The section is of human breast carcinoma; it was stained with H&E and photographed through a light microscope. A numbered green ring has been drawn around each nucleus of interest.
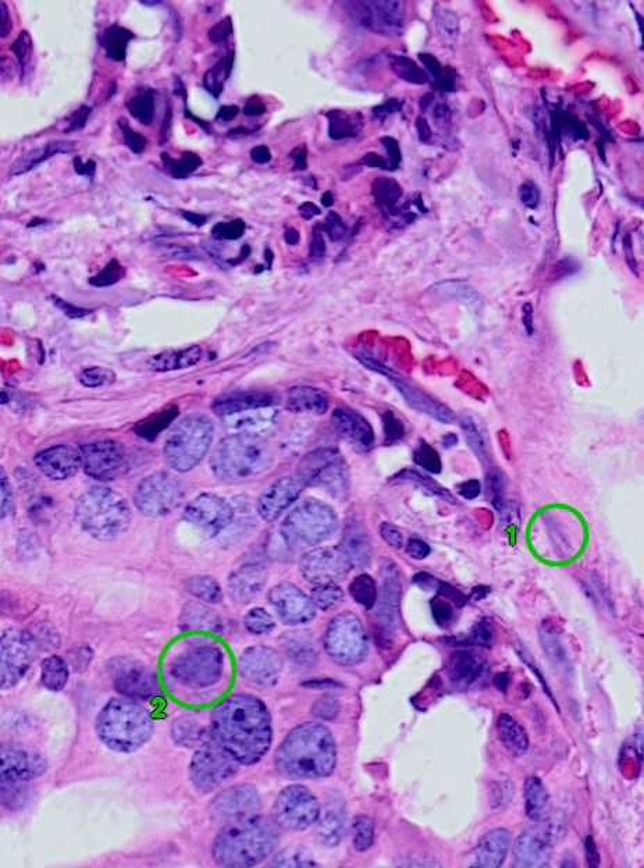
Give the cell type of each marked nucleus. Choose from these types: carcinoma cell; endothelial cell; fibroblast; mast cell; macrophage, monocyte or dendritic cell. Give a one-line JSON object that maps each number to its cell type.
{"1": "fibroblast", "2": "carcinoma cell"}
